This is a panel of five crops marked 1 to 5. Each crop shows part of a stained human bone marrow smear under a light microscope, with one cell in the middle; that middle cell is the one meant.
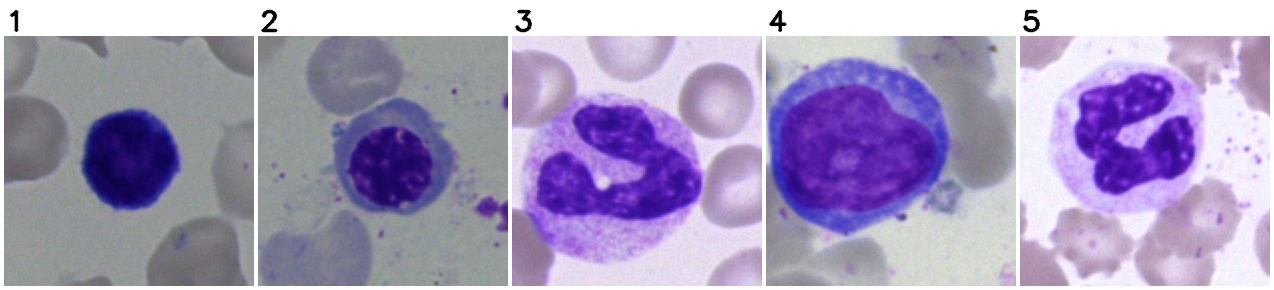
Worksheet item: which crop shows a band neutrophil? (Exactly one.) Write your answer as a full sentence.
Crop 3 is where a band neutrophil is shown.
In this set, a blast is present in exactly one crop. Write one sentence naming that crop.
It is crop 4 that shows a blast.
